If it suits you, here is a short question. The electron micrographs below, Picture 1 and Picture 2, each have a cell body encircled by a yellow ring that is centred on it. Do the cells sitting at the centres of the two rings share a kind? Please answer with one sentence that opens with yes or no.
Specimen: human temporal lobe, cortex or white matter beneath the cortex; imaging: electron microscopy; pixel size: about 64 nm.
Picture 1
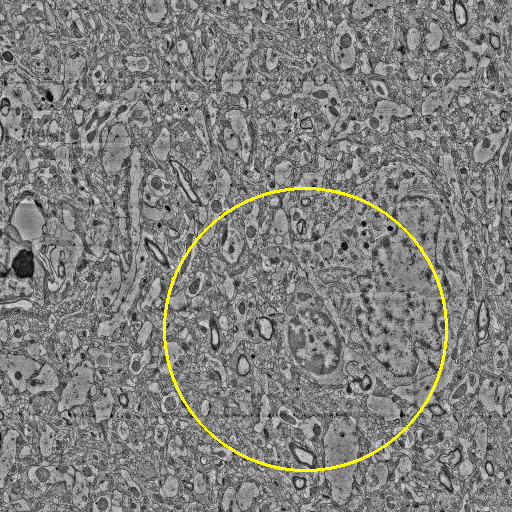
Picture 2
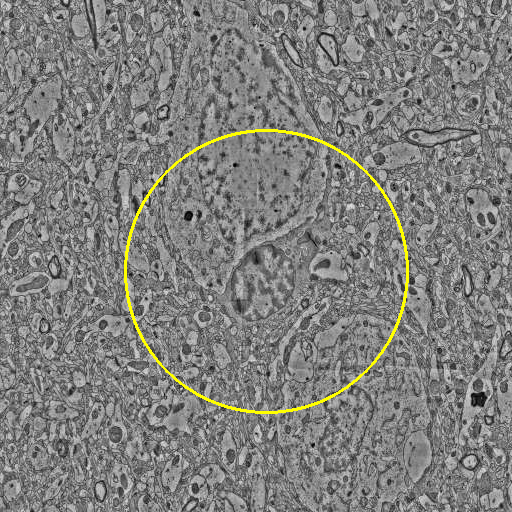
Yes, the two cells sitting at the ring centres share a single kind.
